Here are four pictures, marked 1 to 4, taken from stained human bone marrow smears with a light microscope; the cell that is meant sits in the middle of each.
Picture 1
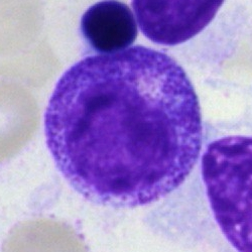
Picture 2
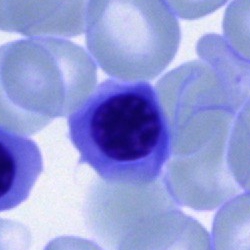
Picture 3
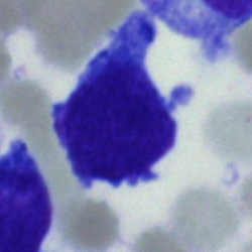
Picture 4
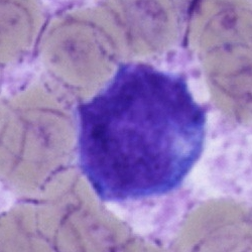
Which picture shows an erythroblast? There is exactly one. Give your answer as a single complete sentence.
The picture with the erythroblast is 2.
